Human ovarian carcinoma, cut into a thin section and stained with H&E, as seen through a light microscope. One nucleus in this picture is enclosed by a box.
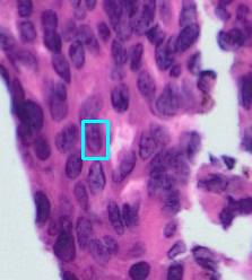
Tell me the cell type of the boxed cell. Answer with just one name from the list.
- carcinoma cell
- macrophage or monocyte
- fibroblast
carcinoma cell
